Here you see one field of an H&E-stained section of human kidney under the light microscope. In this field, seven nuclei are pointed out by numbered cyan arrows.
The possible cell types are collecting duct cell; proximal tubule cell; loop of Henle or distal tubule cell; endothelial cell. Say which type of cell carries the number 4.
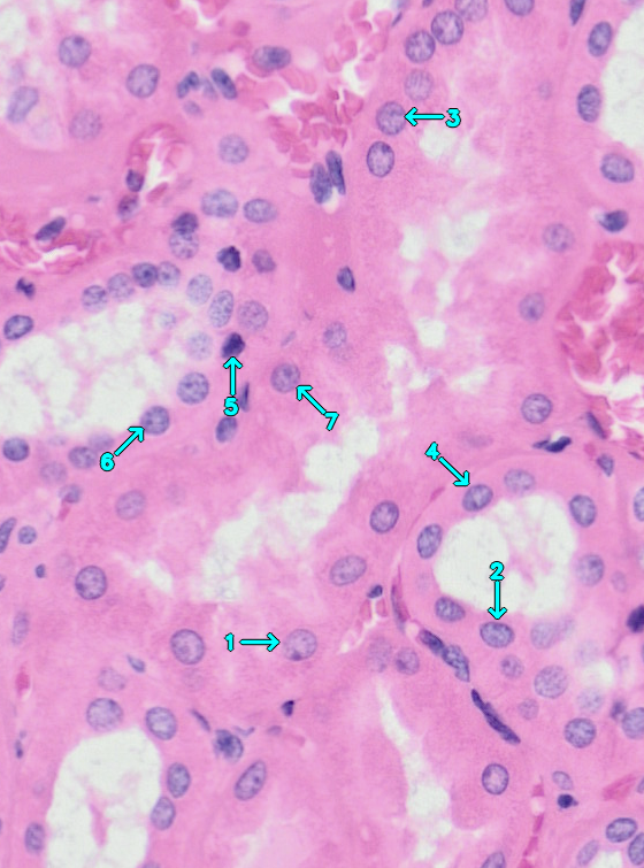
loop of Henle or distal tubule cell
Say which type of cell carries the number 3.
proximal tubule cell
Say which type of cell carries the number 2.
loop of Henle or distal tubule cell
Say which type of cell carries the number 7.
proximal tubule cell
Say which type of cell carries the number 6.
loop of Henle or distal tubule cell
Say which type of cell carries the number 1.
proximal tubule cell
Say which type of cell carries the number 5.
loop of Henle or distal tubule cell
